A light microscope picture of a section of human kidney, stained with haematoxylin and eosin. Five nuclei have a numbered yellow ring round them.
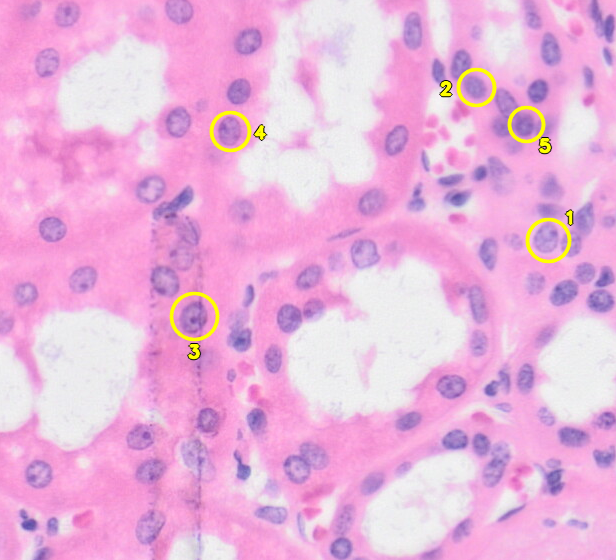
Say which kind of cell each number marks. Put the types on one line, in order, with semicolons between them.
collecting duct cell; collecting duct cell; proximal tubule cell; proximal tubule cell; collecting duct cell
